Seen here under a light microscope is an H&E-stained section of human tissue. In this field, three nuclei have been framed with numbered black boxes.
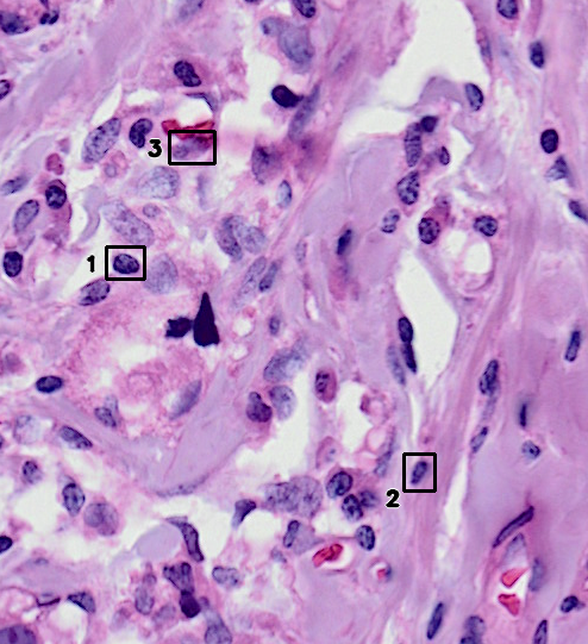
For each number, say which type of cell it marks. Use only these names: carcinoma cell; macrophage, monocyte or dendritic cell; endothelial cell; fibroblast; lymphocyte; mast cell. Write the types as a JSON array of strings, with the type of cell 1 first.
["lymphocyte", "lymphocyte", "endothelial cell"]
